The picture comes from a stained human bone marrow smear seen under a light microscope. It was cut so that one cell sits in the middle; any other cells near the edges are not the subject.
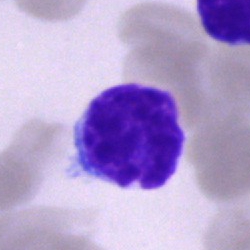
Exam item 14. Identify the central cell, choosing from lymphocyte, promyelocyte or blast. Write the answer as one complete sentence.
The cell centered in this field of view is a lymphocyte.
